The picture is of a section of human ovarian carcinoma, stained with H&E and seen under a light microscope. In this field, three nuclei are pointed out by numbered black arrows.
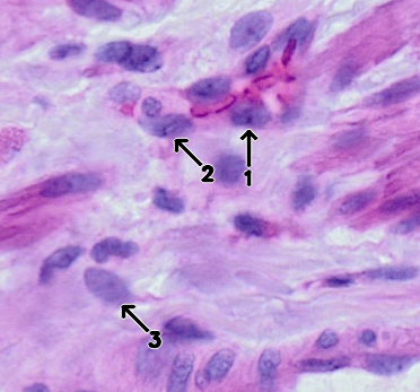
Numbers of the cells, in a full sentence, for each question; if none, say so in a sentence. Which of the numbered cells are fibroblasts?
No marked cell except number 3 is a fibroblast.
